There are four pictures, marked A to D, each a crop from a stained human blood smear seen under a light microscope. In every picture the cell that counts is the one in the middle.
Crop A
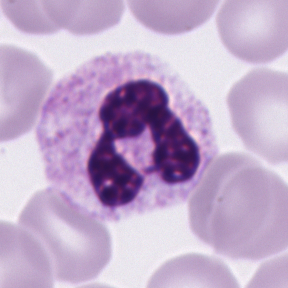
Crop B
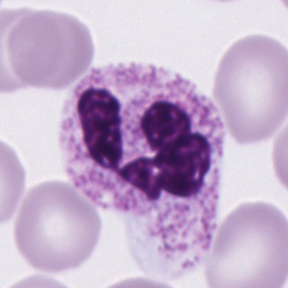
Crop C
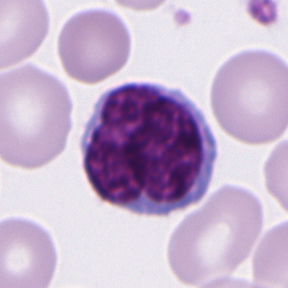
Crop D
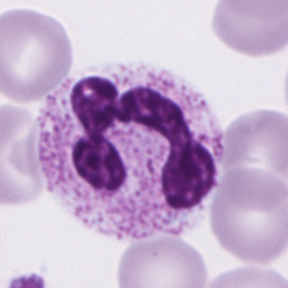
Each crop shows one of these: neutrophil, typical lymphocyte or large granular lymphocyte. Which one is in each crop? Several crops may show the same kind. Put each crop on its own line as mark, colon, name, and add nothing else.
A: neutrophil
B: neutrophil
C: typical lymphocyte
D: neutrophil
